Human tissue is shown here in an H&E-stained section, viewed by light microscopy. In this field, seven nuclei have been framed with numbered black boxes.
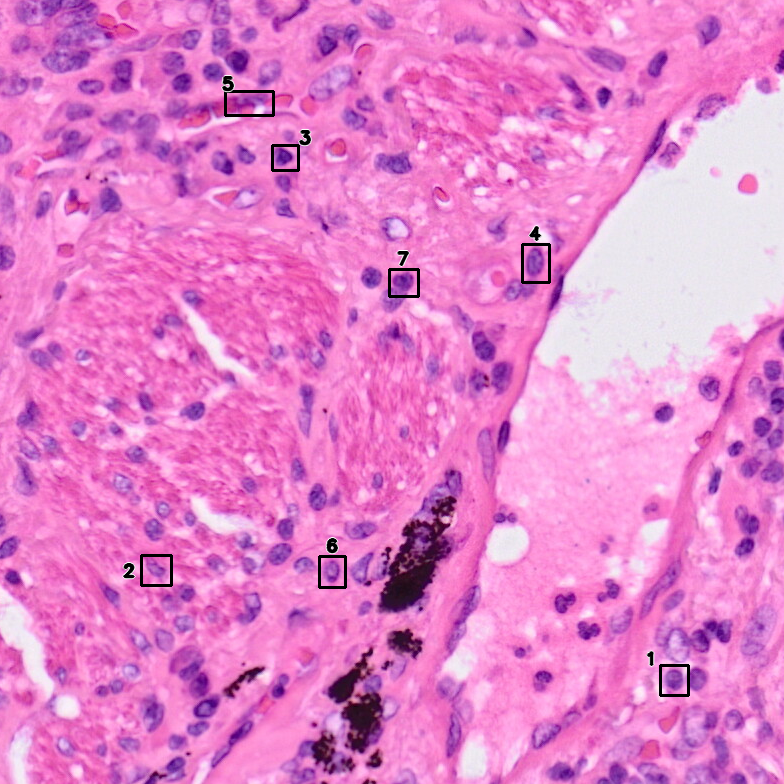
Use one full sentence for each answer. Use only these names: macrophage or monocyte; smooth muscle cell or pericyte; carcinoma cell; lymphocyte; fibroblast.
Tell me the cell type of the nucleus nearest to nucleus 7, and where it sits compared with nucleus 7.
The nearest one is a fibroblast, found below and to the left of nucleus 7.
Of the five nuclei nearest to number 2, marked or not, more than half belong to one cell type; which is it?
The majority of the five nuclei closest to number 2 belong to smooth muscle cells or pericytes.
